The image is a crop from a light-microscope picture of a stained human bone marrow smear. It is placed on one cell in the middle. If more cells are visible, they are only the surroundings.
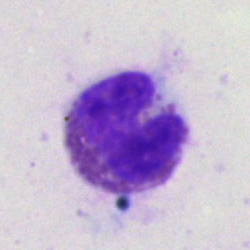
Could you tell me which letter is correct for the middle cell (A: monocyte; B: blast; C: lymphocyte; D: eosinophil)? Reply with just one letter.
D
